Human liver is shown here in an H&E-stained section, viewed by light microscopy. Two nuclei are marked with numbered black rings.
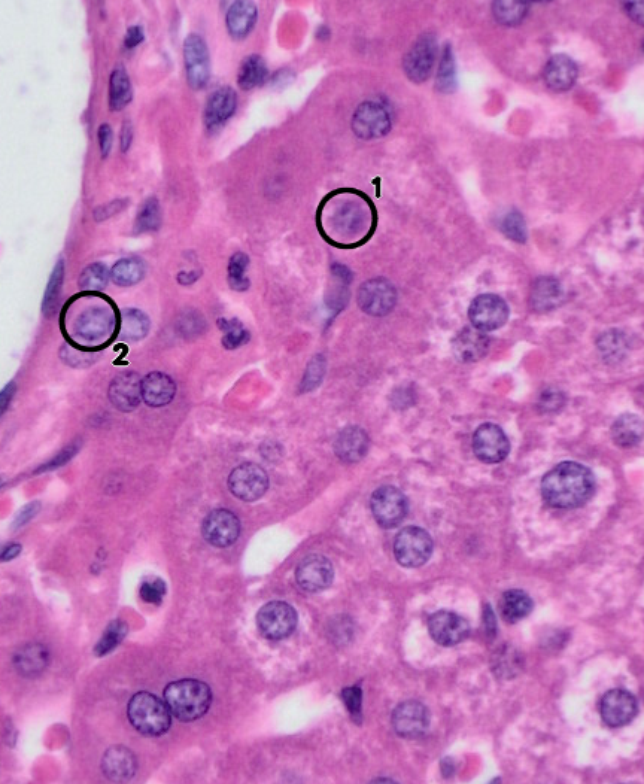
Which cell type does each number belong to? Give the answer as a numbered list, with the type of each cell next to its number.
1. hepatocyte
2. cholangiocyte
